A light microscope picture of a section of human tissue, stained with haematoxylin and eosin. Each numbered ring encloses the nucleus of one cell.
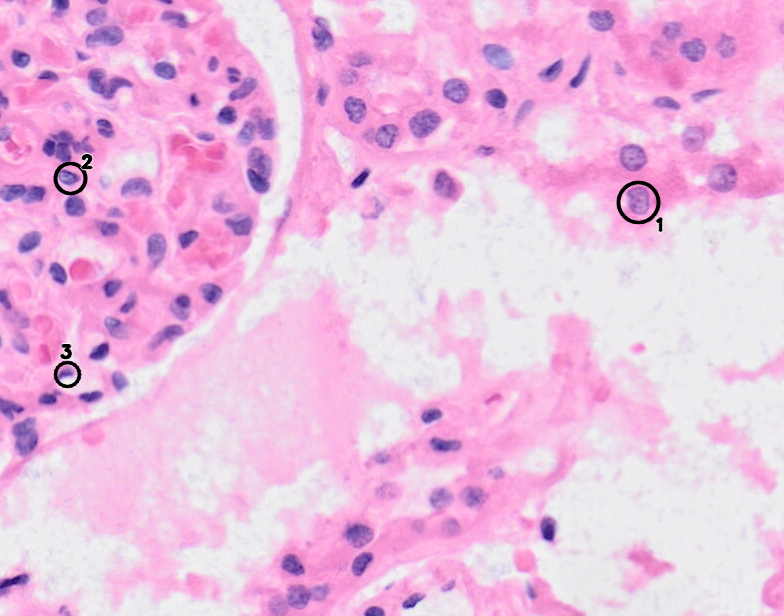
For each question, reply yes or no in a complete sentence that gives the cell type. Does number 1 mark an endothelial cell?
No, cell 1 is a proximal tubule cell; it is not an endothelial cell.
